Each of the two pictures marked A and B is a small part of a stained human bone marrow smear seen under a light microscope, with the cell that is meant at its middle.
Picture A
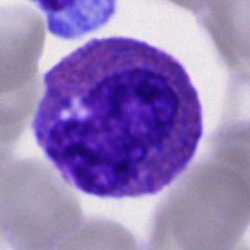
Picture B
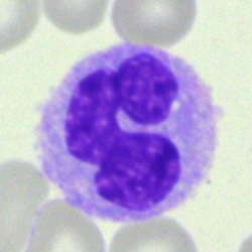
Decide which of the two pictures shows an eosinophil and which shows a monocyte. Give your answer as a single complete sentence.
The cell in picture A is an eosinophil, and the one in picture B is a monocyte.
